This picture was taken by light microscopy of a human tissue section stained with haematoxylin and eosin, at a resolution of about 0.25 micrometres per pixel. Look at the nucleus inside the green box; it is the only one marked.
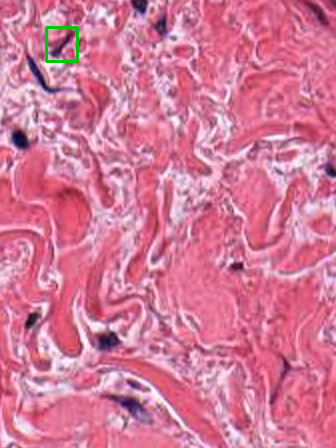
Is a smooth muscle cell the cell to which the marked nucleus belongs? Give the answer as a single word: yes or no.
no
